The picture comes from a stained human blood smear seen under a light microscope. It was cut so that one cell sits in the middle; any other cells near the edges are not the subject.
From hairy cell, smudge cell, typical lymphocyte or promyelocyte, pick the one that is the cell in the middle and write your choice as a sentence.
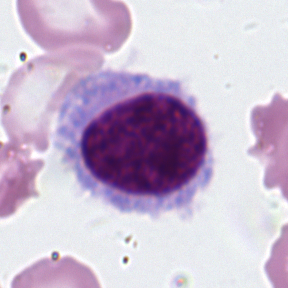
In short, the cell at the center is a hairy cell.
